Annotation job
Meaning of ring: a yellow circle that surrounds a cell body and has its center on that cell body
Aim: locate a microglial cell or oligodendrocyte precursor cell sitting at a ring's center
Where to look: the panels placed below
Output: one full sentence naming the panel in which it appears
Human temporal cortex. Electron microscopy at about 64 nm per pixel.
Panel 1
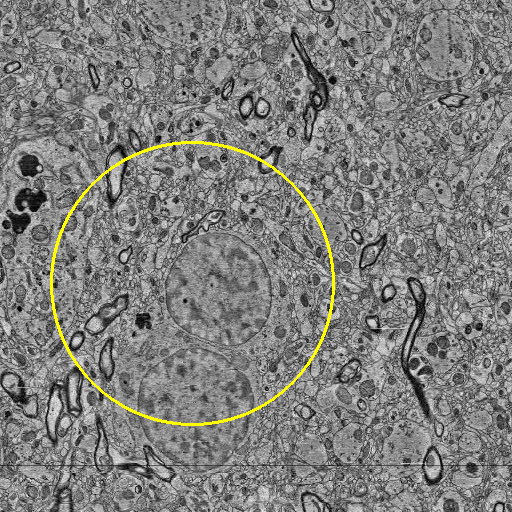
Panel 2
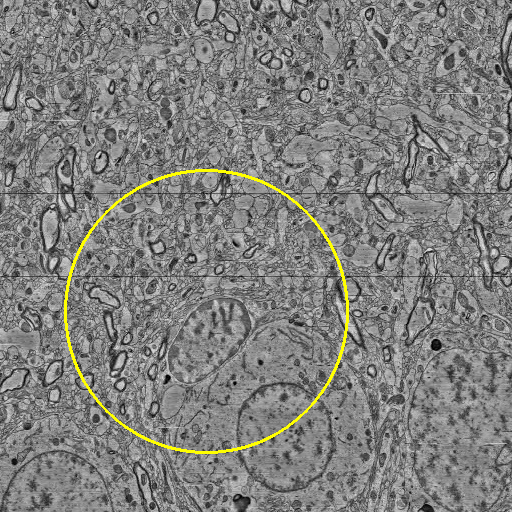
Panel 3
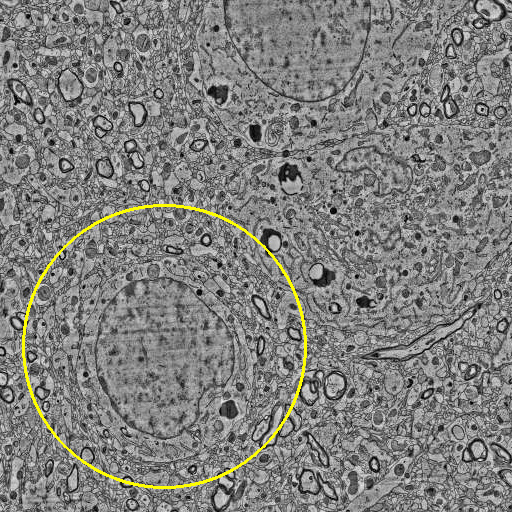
The cell at the center of the ring in panel 2 is the one sought.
